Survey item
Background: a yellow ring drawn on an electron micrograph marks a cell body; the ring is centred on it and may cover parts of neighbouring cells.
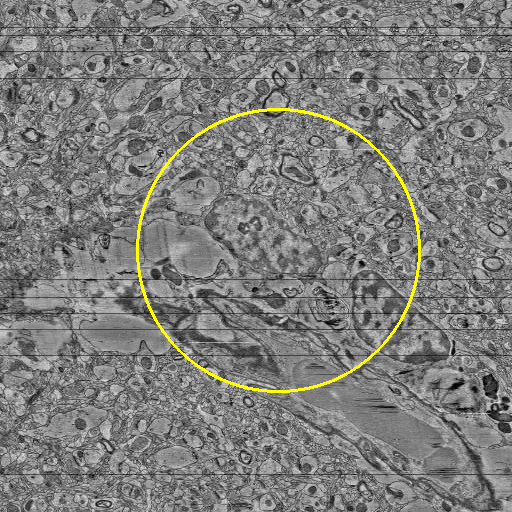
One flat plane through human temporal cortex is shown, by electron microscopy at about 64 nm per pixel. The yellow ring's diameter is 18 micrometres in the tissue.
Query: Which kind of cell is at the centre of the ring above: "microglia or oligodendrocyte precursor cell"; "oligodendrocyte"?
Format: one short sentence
The cell in the middle of the ring is an oligodendrocyte.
